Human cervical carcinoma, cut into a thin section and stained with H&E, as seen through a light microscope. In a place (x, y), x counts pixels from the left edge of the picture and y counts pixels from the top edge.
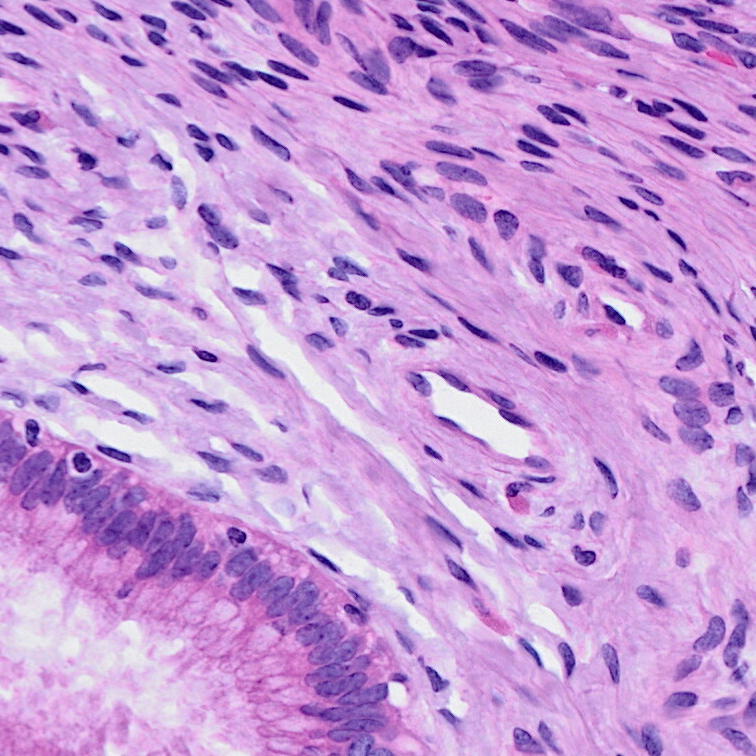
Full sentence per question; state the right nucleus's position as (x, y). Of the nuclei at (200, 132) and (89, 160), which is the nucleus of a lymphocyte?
Of the two nuclei, the one sitting at (89, 160) belongs to a lymphocyte.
